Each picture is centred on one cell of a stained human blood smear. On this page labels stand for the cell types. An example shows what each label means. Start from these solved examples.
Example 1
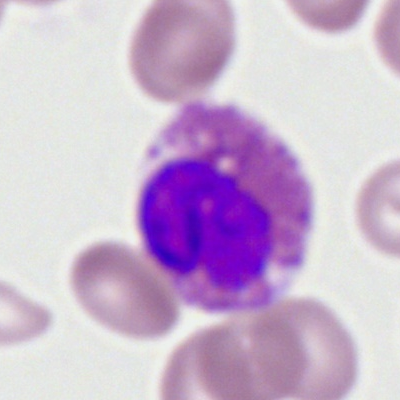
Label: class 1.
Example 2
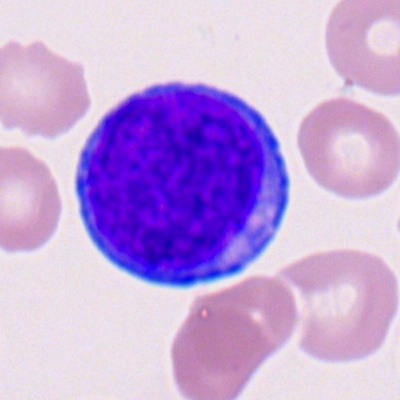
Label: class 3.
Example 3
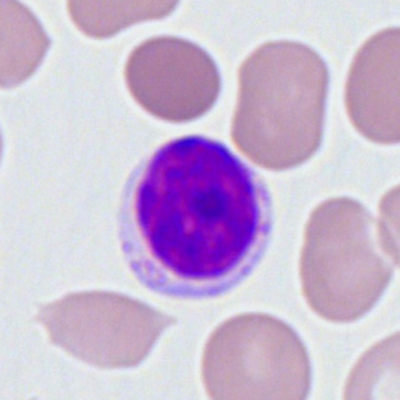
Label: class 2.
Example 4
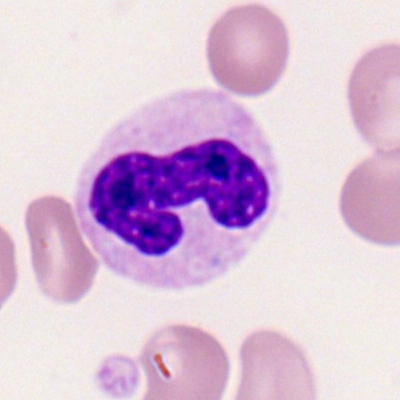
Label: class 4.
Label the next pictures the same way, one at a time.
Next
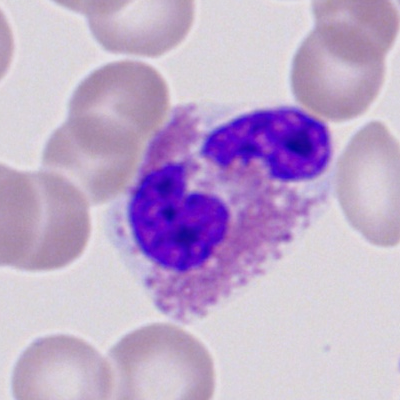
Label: class 1.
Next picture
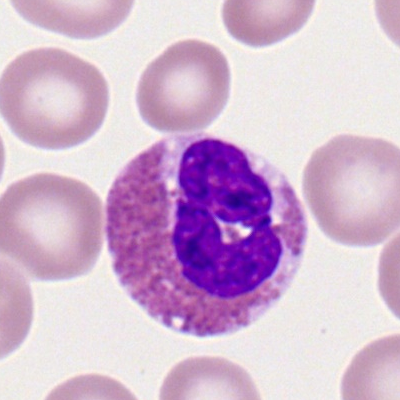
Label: class 1.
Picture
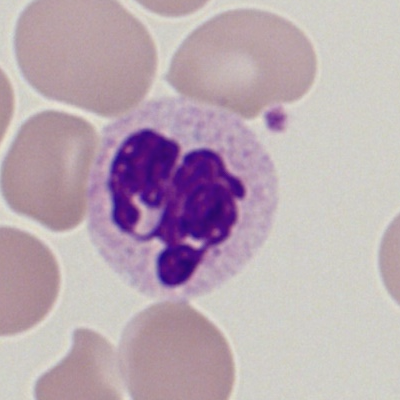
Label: class 4.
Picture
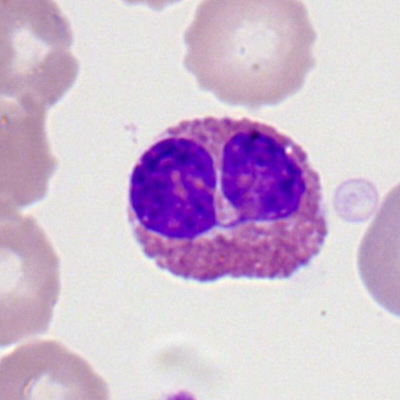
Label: class 1.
